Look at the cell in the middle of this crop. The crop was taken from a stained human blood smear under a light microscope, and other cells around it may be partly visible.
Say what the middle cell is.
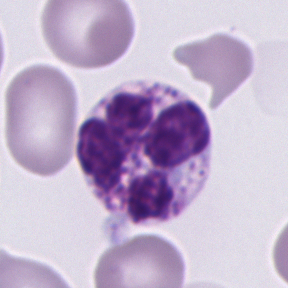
basophil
